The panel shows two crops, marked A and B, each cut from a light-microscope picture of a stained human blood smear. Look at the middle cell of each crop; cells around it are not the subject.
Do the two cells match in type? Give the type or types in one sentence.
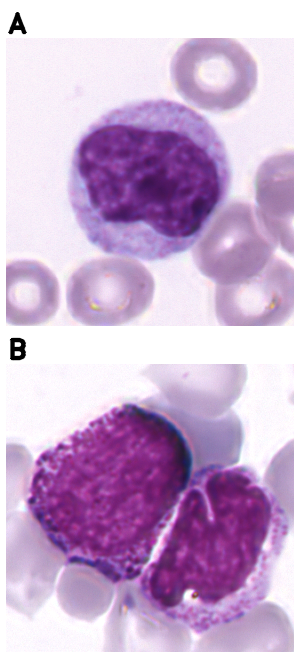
No, a myelocyte is what crop A shows, and a promyelocyte is what crop B shows.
